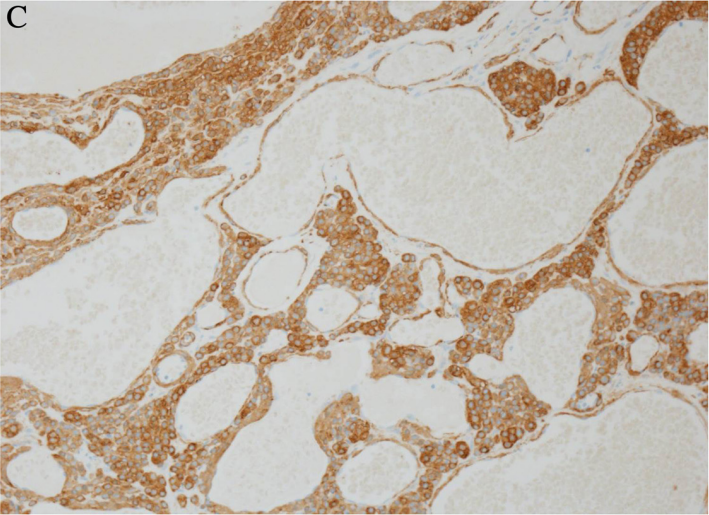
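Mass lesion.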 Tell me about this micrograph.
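Tumor cells surrounding vascular spaces show strong brown cytoplasmic staining. The stained cells are round with round nuclei and form sheets and cuffs between the vessels. The large vascular lumens, containing pale red blood cells, are unstained, and thin brown rims outline many of them.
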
